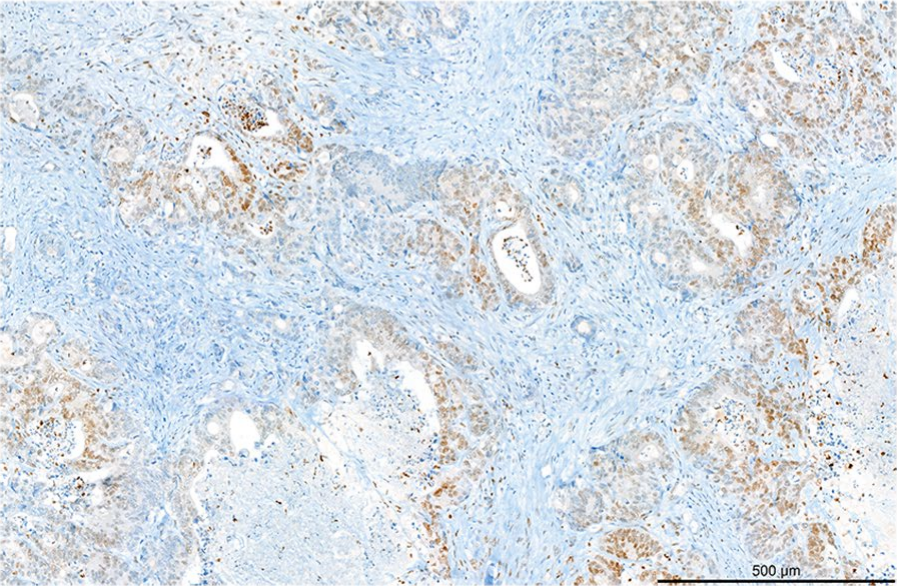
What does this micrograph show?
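The tumour epithelium is crowded and several cells thick around gland lumens, many of which hold granular debris. Nuclei in parts of the tumour epithelium are stained brown, in patchy clusters, often toward the luminal side of glands, while other parts of the same nests remain pale. The stroma consists of spindle-shaped cells with blue nuclei in a loose fibrous background and shows little brown staining. Scattered dark brown dots lie in the debris and at the edges of some nests.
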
